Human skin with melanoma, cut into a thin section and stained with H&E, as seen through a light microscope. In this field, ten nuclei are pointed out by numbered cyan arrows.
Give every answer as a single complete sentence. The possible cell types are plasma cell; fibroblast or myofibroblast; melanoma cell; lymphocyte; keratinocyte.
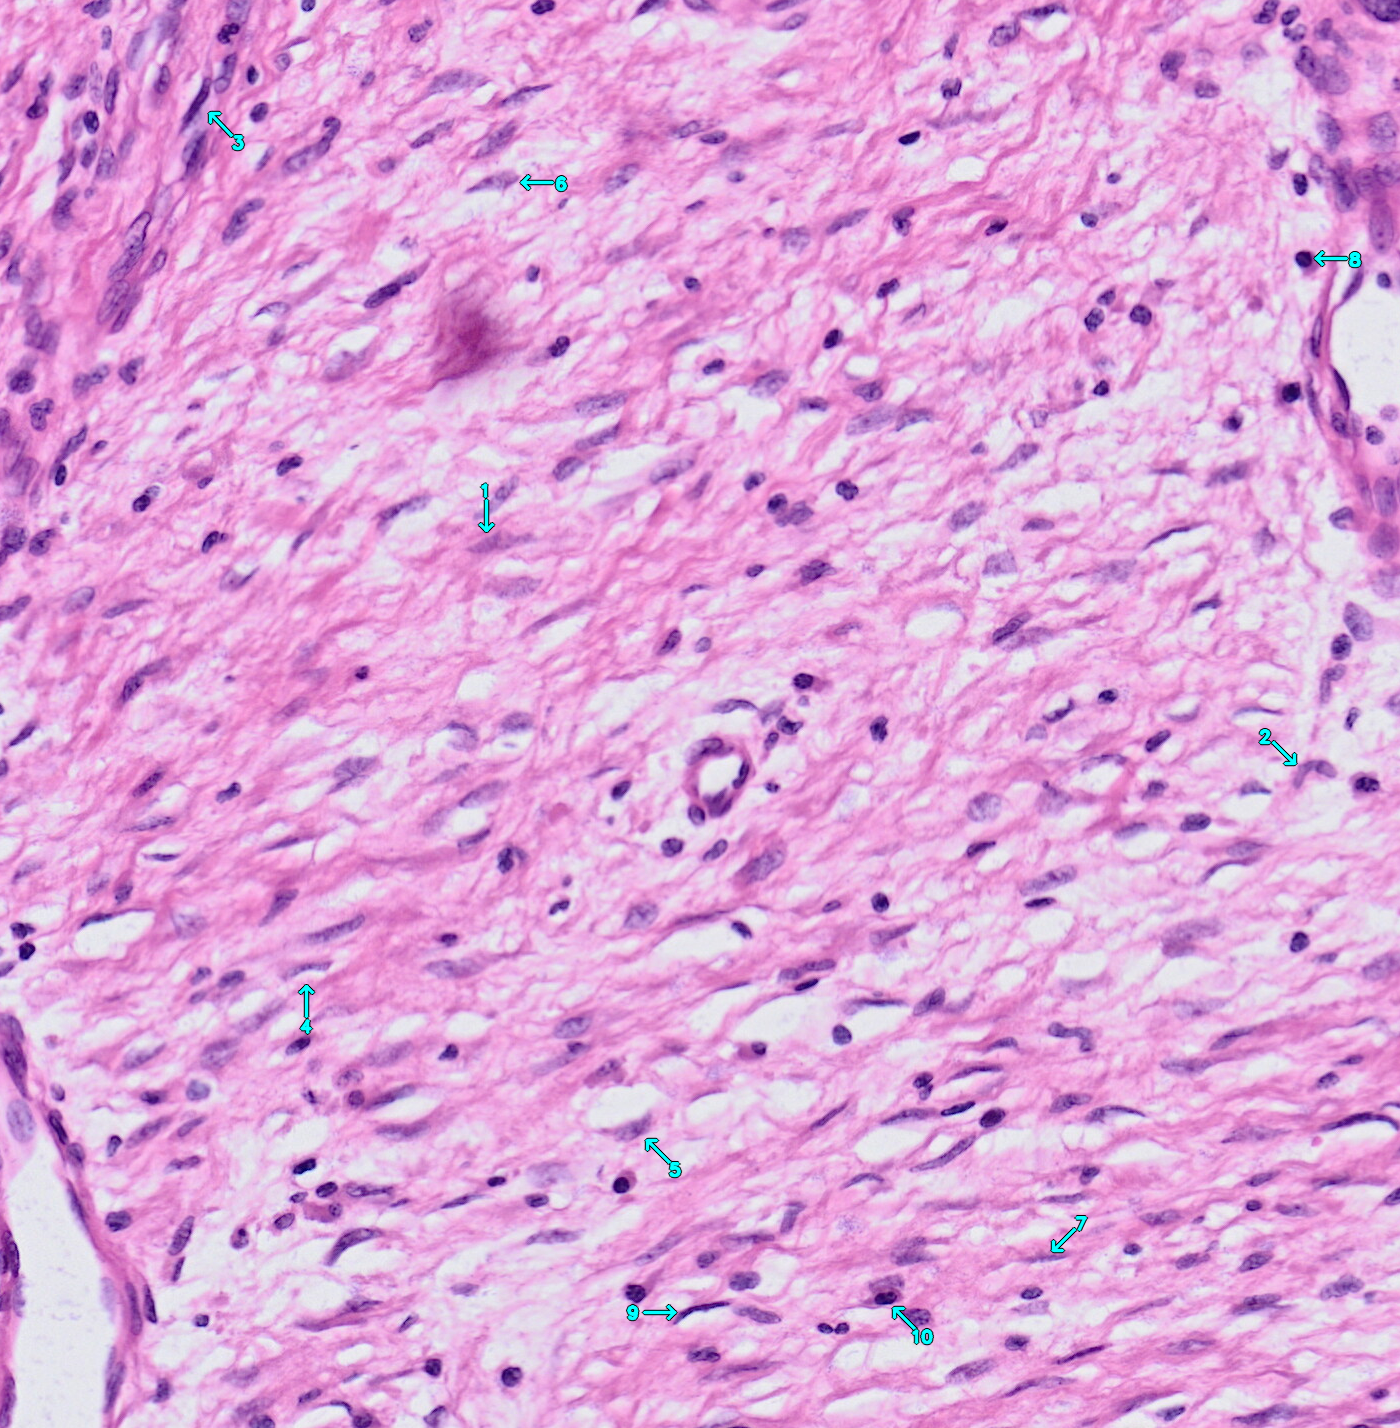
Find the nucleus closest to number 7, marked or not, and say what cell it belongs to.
The cell nearest to number 7 is a lymphocyte.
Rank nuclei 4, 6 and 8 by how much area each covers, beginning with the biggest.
Going from the biggest nucleus down to the smallest gives 6, 4, 8.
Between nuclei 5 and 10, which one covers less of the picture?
Nucleus 10 is the smaller one; nucleus 5 covers about 1.5 times its area.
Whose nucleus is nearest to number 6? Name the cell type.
The cell nearest to number 6 is a fibroblast or myofibroblast.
